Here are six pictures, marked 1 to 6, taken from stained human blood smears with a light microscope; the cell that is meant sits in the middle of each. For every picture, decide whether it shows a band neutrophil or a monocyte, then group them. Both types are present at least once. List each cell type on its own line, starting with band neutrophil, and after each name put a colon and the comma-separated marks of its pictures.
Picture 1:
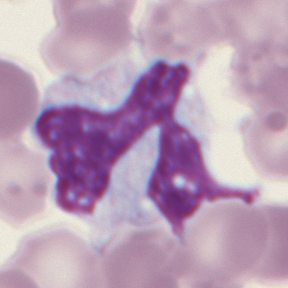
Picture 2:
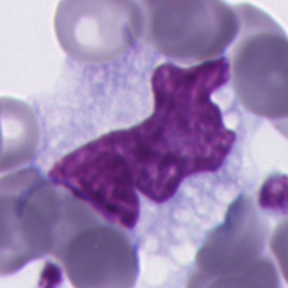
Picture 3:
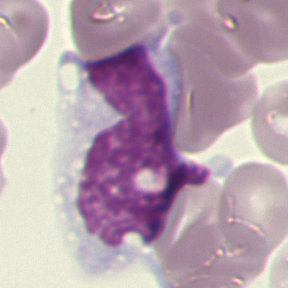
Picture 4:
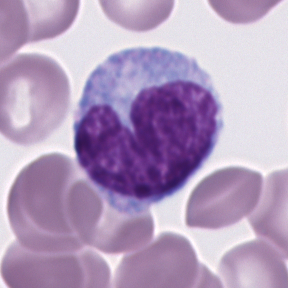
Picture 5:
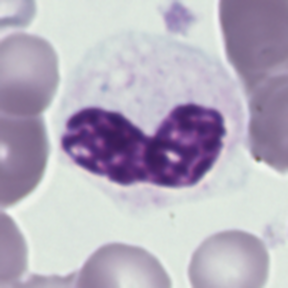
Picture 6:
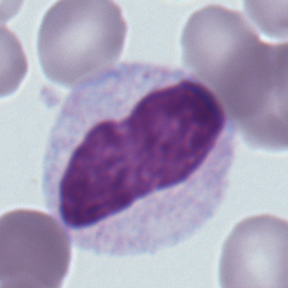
band neutrophil: 5, 6
monocyte: 1, 2, 3, 4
